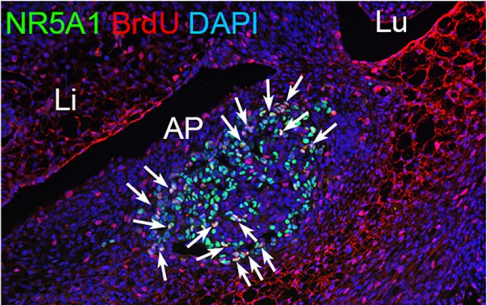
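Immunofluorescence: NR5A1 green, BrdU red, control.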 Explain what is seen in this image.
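A loose oval cluster of cells with green nuclei lies within blue-nucleated mesenchyme between the liver and the lung. A number of nuclei in the cluster show both green and red label, scattered mostly near its edge. The surrounding tissue contains many scattered red nuclei and a red meshwork of staining toward the lung side.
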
